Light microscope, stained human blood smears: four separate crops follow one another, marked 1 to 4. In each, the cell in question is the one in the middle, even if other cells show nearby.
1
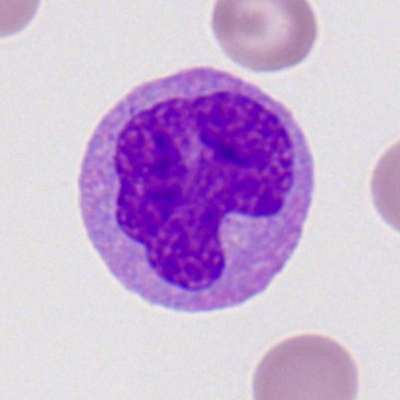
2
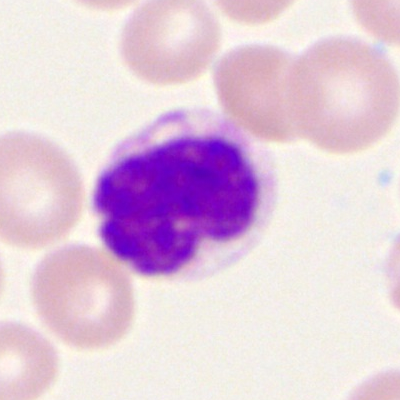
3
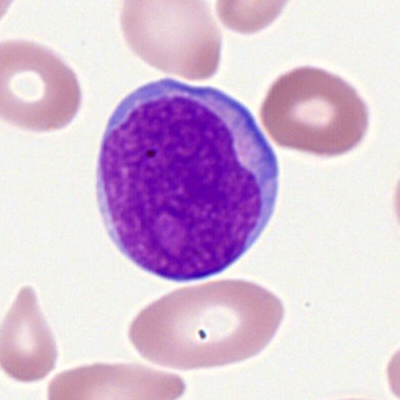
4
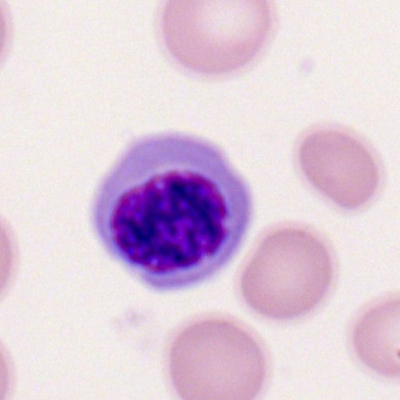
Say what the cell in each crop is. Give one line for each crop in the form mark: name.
1: monocyte
2: basophil
3: myeloblast
4: erythroblast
